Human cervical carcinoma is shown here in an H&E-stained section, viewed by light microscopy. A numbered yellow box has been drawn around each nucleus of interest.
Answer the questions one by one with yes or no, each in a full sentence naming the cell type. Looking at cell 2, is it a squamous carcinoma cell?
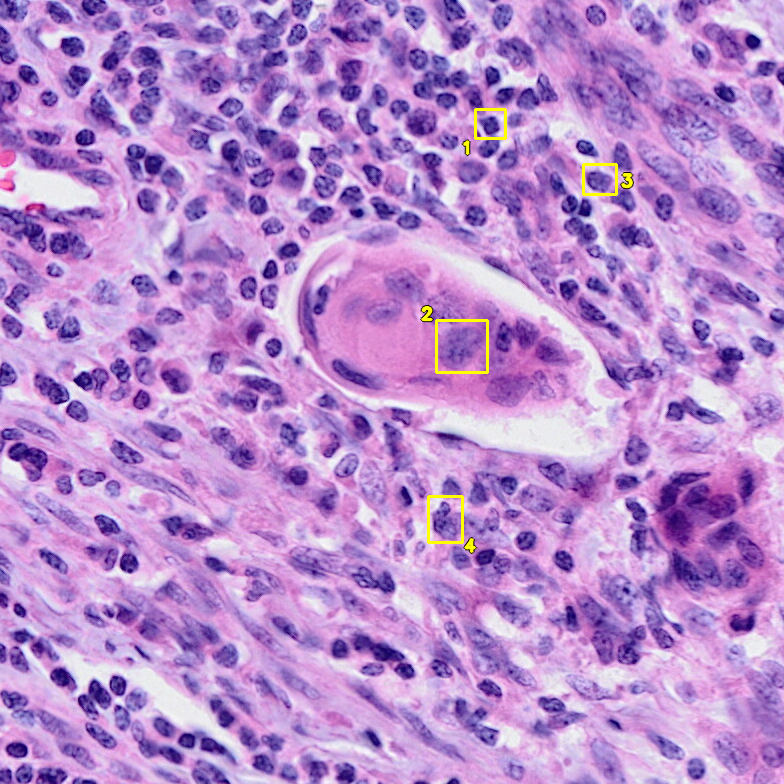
Yes, among the marked cells, the one with number 2 is a squamous carcinoma cell.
